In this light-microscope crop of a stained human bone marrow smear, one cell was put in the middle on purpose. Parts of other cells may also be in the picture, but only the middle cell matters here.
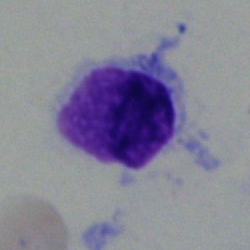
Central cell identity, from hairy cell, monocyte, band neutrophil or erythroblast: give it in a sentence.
This crop is built around a hairy cell at its centre.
